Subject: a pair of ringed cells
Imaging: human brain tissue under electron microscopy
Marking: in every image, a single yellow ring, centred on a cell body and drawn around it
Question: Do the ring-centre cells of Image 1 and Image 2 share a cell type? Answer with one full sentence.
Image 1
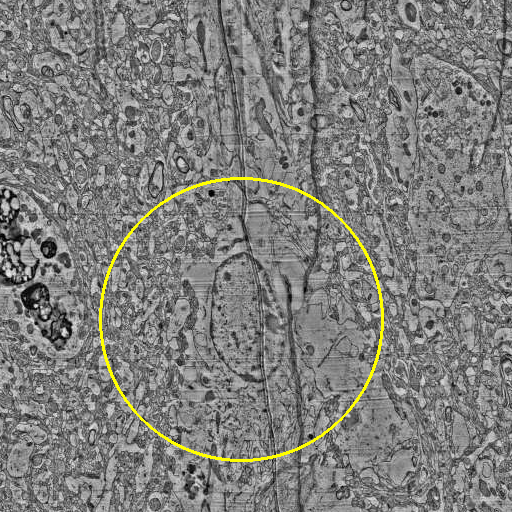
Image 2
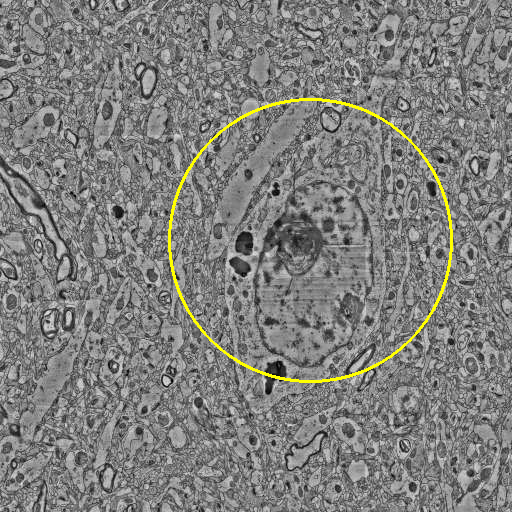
No, at the ring centres in the images sit cells of two separate types.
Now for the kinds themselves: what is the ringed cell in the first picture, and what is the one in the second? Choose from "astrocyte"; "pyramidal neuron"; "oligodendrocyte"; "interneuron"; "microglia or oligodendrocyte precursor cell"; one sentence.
Here the first cell is an astrocyte and the second cell is an interneuron.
